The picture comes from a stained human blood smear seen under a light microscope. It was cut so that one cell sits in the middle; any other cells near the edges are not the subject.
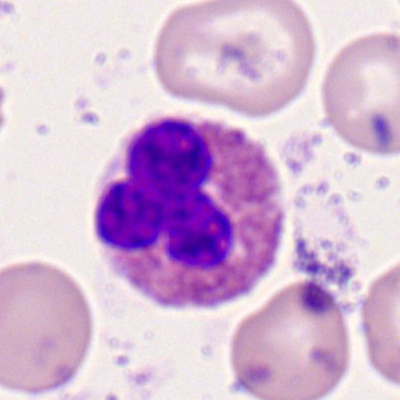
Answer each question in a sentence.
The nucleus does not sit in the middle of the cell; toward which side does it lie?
The nucleus lies toward the upper left of the cell.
